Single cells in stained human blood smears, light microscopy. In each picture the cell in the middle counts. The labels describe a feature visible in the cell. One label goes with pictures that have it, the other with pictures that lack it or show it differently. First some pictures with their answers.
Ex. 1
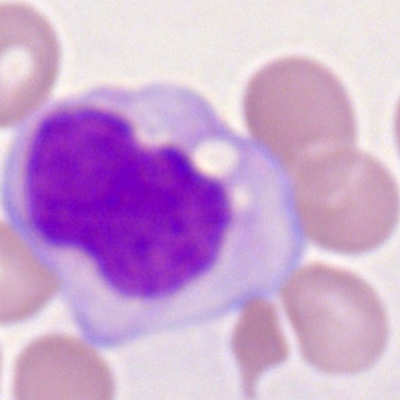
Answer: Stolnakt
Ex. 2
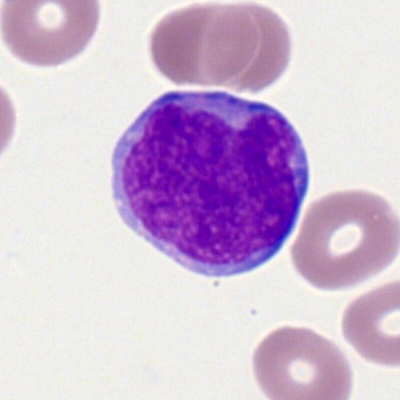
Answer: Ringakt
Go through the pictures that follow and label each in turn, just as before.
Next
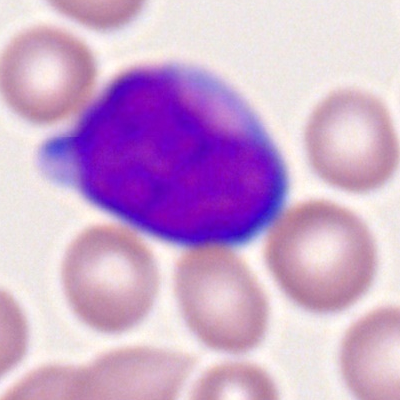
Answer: Ringakt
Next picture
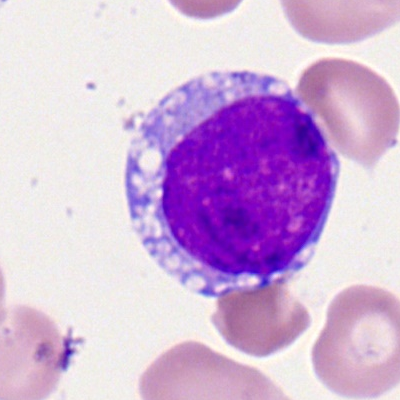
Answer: Stolnakt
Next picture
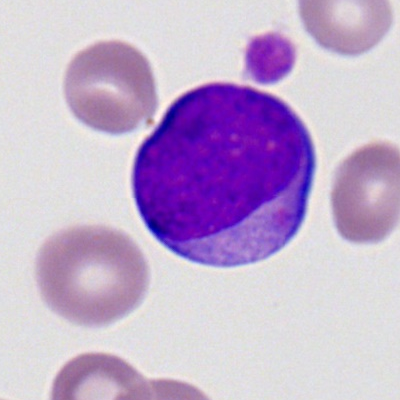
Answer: Ringakt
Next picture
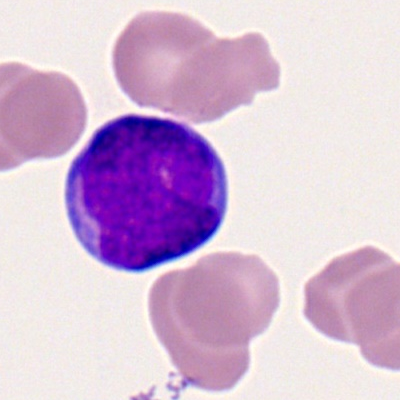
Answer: Ringakt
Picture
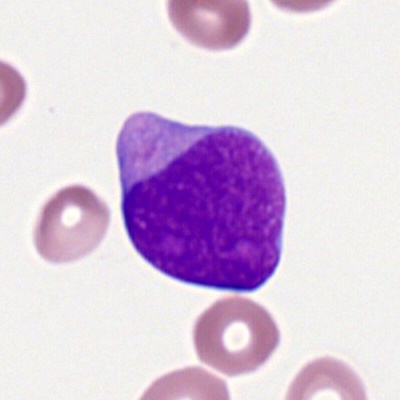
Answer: Ringakt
